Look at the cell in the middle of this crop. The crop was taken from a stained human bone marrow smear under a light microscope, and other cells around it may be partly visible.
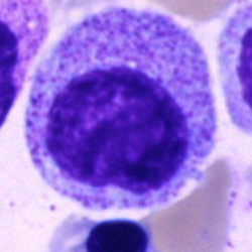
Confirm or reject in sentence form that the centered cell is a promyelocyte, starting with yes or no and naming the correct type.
Yes, the central cell of this crop corresponds to a promyelocyte.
